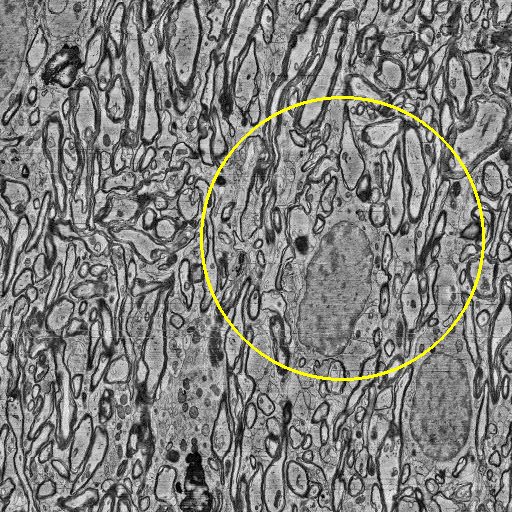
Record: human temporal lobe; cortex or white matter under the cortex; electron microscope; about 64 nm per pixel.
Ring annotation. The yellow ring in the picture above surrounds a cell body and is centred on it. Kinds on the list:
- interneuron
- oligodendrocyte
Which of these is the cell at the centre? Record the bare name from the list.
oligodendrocyte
